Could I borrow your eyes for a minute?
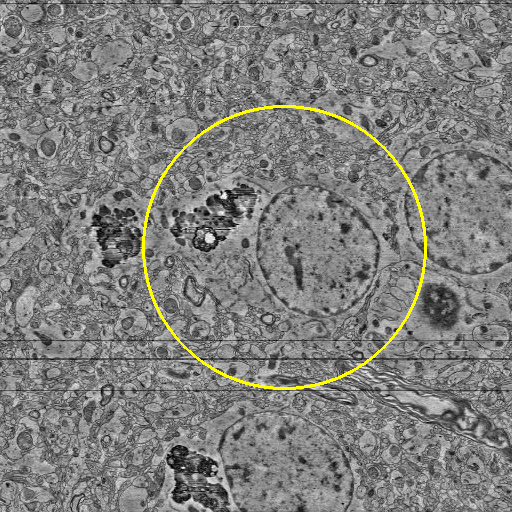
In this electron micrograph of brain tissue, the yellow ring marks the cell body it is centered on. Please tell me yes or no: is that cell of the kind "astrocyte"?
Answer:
yes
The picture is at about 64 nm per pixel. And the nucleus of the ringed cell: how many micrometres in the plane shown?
The nucleus is approximately 9 micrometers long by 8 micrometers wide in this plane.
